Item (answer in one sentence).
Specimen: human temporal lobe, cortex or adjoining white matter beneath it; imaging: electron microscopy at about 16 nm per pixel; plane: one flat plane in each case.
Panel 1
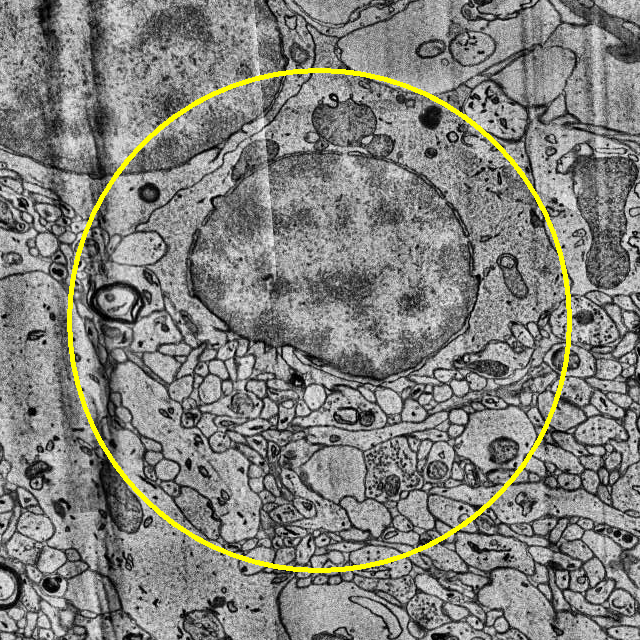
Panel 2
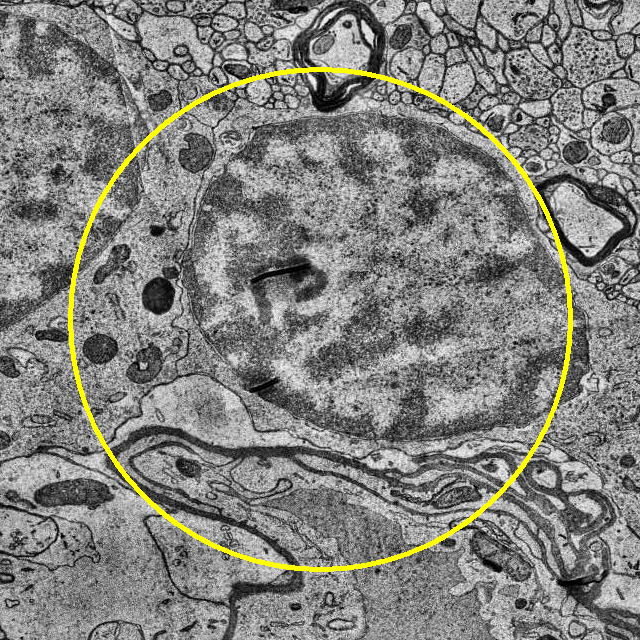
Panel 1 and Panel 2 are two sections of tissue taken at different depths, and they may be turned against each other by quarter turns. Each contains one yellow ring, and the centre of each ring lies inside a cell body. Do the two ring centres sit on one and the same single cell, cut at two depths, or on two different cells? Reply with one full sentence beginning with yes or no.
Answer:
No, the rings mark separate cells, one per ring.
